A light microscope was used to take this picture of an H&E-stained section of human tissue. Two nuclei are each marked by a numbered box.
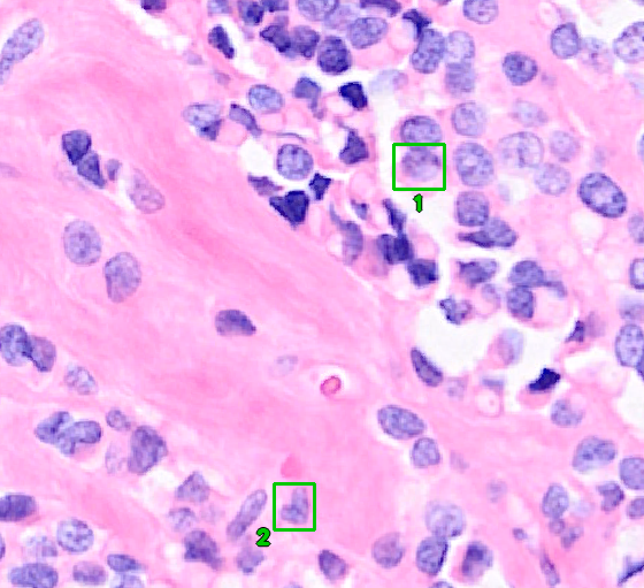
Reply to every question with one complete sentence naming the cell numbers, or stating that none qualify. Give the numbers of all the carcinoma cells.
Only the cell numbered 1 is a carcinoma cell; none of the others is.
